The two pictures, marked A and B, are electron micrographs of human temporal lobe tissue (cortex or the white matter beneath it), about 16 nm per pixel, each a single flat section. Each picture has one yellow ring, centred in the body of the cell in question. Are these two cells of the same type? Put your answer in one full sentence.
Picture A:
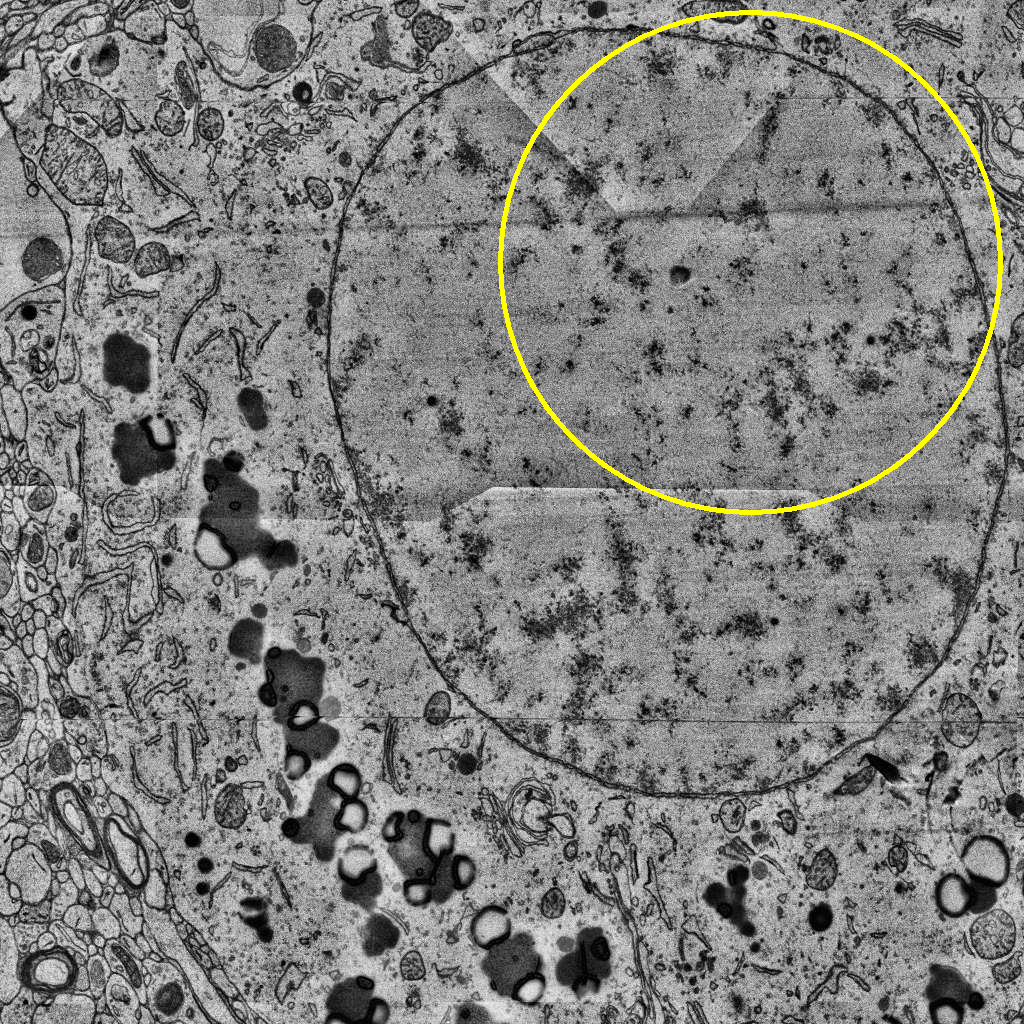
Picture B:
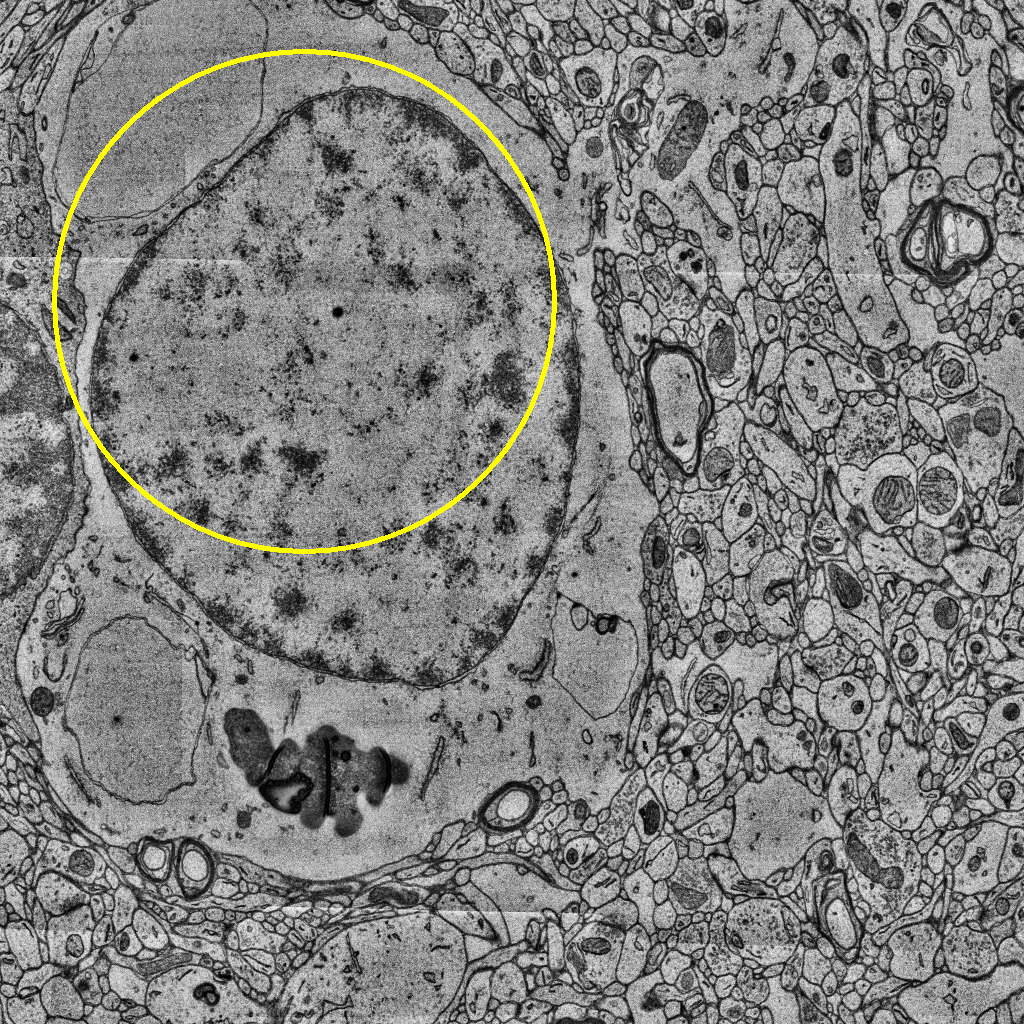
No, they differ: the cell is a pyramidal neuron in picture A and an astrocyte in picture B.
